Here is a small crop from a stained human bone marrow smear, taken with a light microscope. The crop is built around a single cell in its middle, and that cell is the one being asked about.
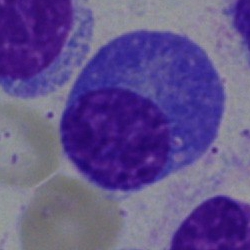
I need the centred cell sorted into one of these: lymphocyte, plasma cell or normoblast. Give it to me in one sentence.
The cell marked by its central position in the crop is a plasma cell.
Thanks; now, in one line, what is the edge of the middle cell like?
A smooth, projection-free outline is what this cell has.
